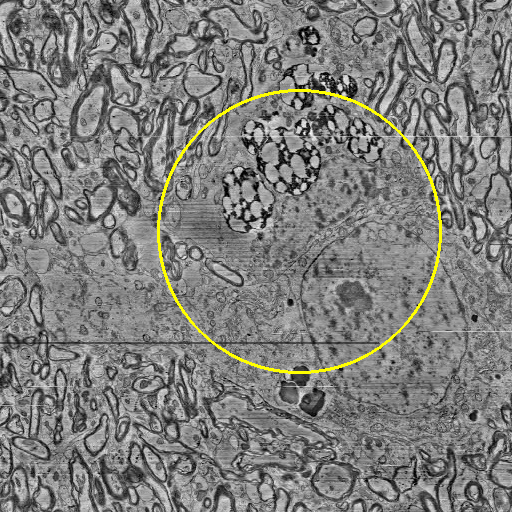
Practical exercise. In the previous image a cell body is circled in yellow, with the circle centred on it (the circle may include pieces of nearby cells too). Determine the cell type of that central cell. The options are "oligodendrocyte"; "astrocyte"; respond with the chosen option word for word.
astrocyte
